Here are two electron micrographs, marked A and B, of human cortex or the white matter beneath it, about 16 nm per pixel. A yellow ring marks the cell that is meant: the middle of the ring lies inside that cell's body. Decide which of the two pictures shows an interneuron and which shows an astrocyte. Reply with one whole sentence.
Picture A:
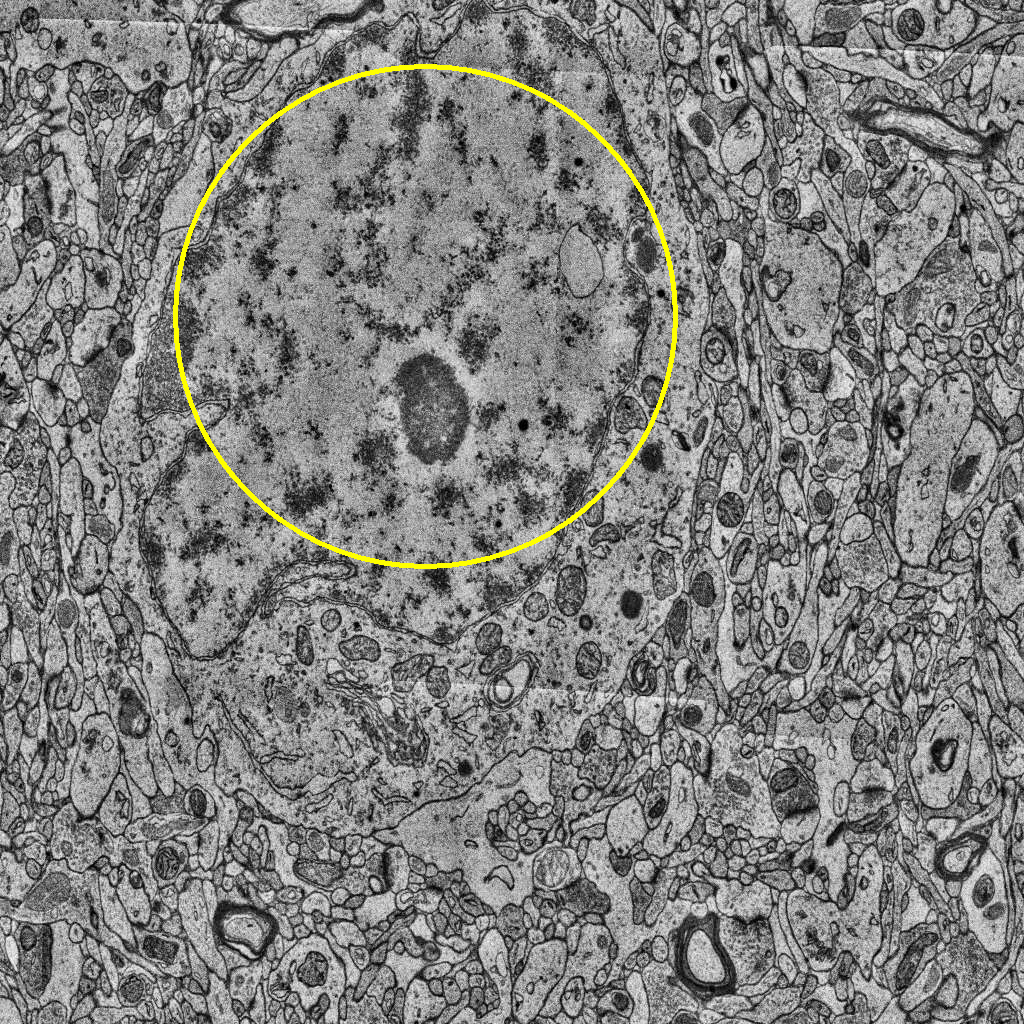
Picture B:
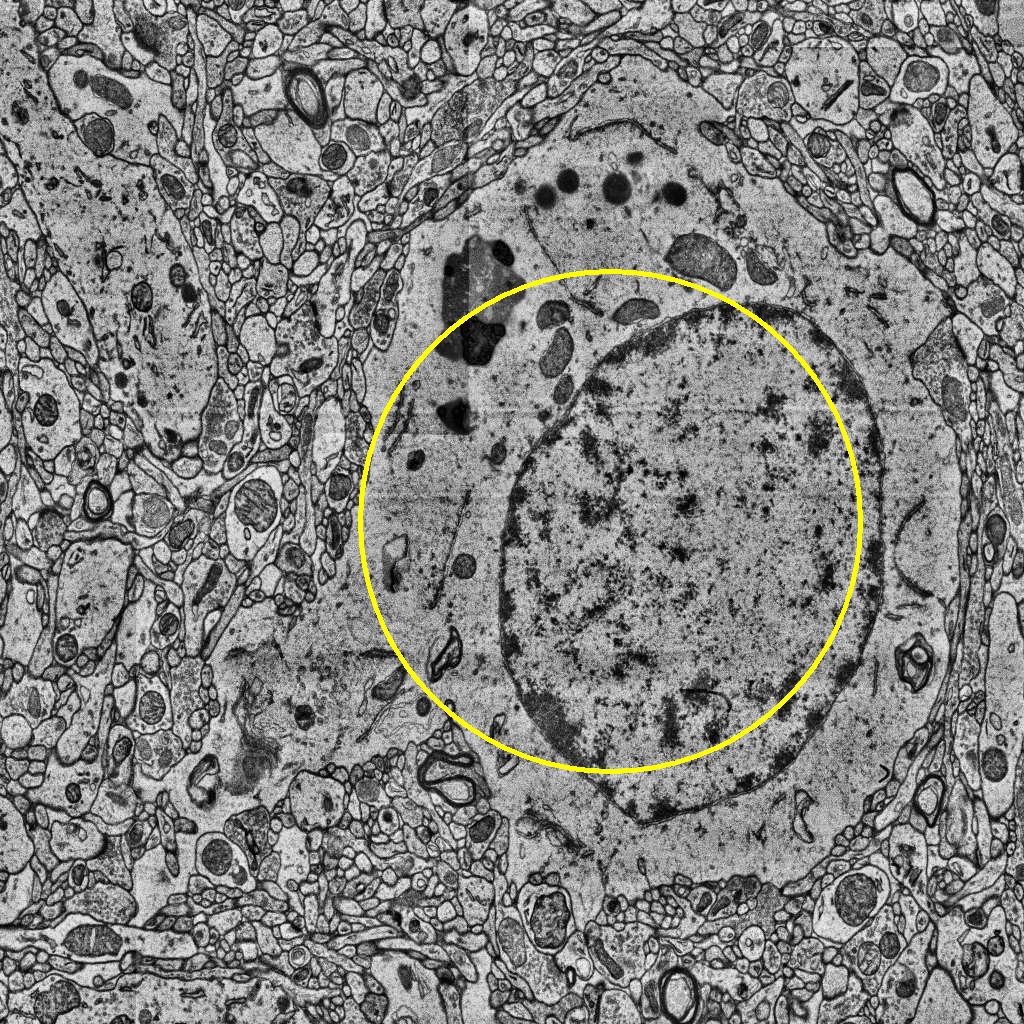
The cell in picture A is an interneuron, and the one in picture B is an astrocyte.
